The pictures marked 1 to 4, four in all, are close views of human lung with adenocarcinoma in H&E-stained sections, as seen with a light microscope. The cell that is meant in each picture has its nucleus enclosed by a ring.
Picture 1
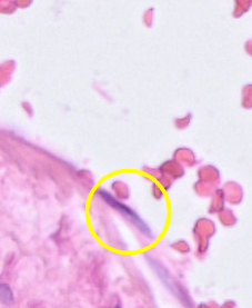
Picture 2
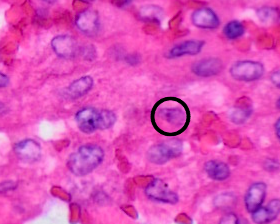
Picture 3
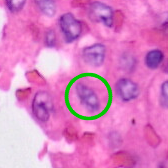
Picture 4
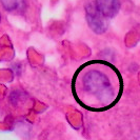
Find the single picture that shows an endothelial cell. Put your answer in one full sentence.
Picture 1 is the one that shows the endothelial cell.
